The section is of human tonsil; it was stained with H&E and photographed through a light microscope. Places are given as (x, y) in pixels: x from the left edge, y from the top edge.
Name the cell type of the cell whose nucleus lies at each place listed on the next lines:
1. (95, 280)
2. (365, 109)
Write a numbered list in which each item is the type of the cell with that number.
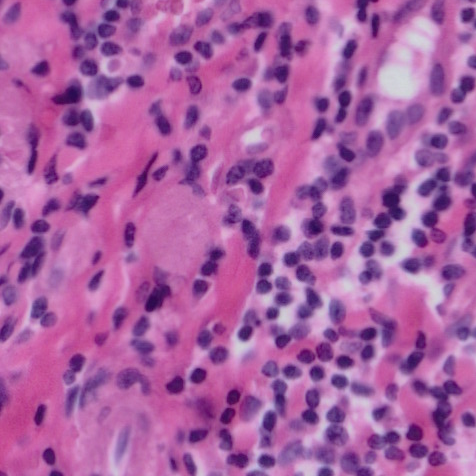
1. mast cell
2. endothelial cell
